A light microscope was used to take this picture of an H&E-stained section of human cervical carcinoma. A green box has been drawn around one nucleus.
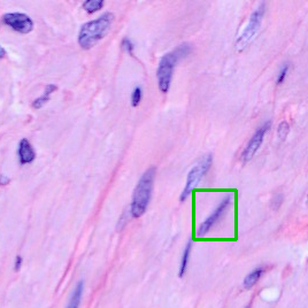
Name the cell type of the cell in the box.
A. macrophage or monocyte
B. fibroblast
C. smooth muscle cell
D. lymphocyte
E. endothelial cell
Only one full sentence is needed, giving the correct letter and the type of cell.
Settle on option B; the cell in the box is a fibroblast.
